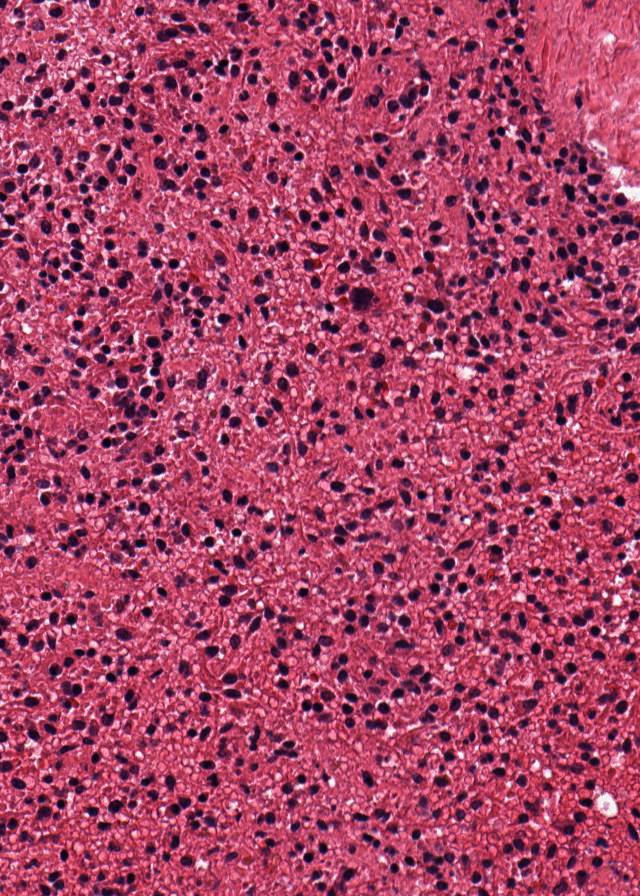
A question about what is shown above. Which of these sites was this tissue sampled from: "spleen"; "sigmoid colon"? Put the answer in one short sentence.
The site this tissue was sampled from is the spleen.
